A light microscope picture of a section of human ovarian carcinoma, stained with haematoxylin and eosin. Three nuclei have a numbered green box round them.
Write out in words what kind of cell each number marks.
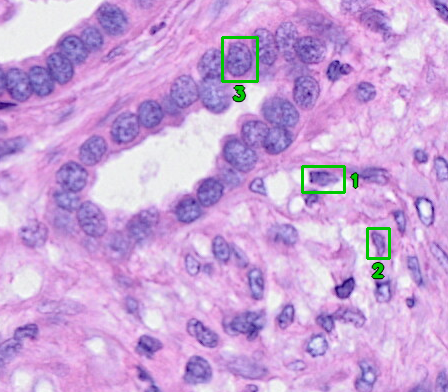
Cell 1 is a macrophage or monocyte. Cell 2 is a fibroblast. Cell 3 is a carcinoma cell.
